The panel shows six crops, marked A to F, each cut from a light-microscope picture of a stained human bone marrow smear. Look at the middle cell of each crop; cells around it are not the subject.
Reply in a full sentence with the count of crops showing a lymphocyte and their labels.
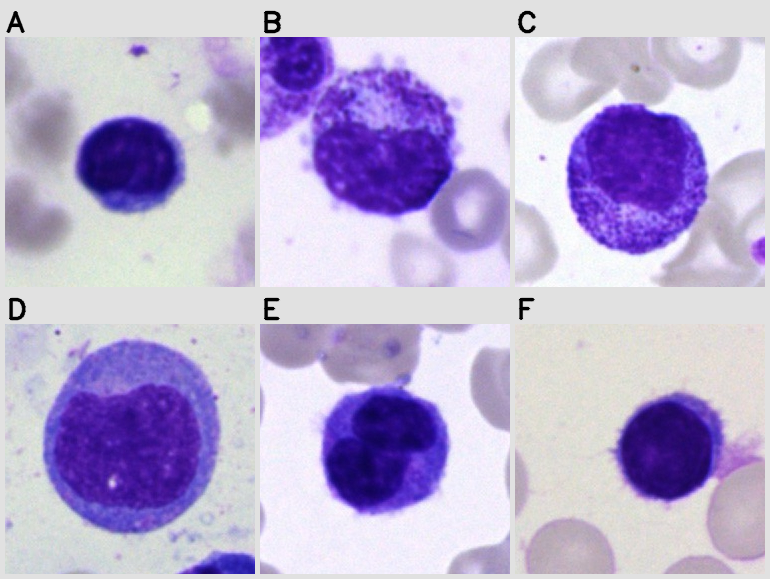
Found in crops A and F, the lymphocytes account for two crops.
